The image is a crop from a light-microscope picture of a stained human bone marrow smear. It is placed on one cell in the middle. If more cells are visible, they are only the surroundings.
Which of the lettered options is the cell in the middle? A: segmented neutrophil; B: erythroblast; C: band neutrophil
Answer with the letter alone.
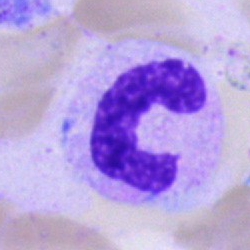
C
